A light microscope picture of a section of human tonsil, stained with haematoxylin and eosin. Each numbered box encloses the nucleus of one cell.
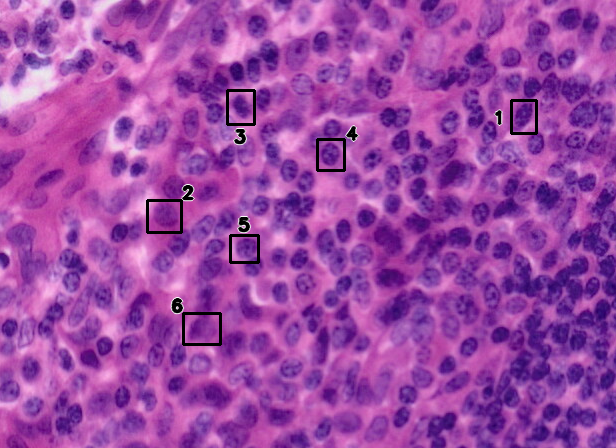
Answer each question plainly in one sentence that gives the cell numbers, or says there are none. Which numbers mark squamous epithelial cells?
On this slide, the cells numbered 2 and 6 are squamous epithelial cells.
